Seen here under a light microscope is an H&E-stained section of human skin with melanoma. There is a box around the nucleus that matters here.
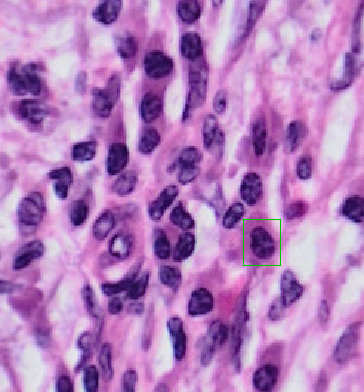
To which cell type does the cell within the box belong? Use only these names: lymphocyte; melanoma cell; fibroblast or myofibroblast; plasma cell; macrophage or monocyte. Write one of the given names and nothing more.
plasma cell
